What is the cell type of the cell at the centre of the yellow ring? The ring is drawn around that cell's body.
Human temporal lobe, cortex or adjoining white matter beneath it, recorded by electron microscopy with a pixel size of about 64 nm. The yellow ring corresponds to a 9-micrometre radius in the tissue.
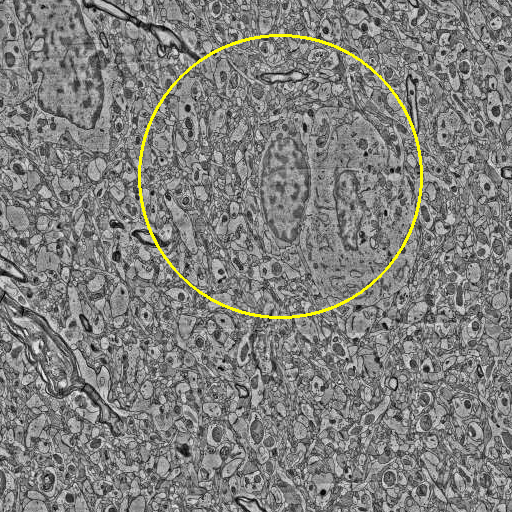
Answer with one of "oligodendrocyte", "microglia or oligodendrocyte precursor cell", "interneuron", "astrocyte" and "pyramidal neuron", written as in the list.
oligodendrocyte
